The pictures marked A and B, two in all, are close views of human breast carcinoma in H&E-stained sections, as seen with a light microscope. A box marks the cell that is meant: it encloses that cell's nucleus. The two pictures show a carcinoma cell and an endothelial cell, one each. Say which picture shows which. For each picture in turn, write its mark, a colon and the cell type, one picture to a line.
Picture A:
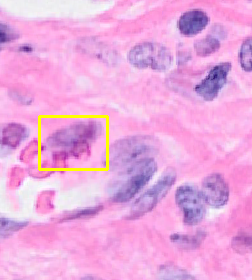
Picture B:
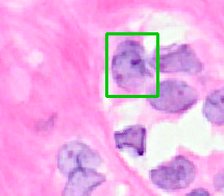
A: endothelial cell
B: carcinoma cell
